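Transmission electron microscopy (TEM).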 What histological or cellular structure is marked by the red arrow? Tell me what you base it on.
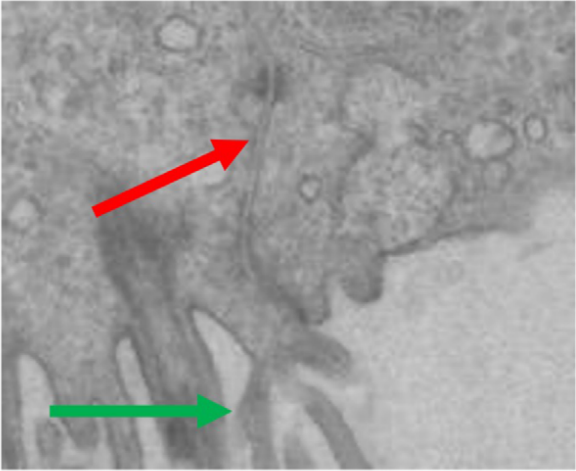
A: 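A thin dark line runs between two adjoining cell regions. The line reaches toward the free, apical surface where projections emerge.
Answer: tight junctions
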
